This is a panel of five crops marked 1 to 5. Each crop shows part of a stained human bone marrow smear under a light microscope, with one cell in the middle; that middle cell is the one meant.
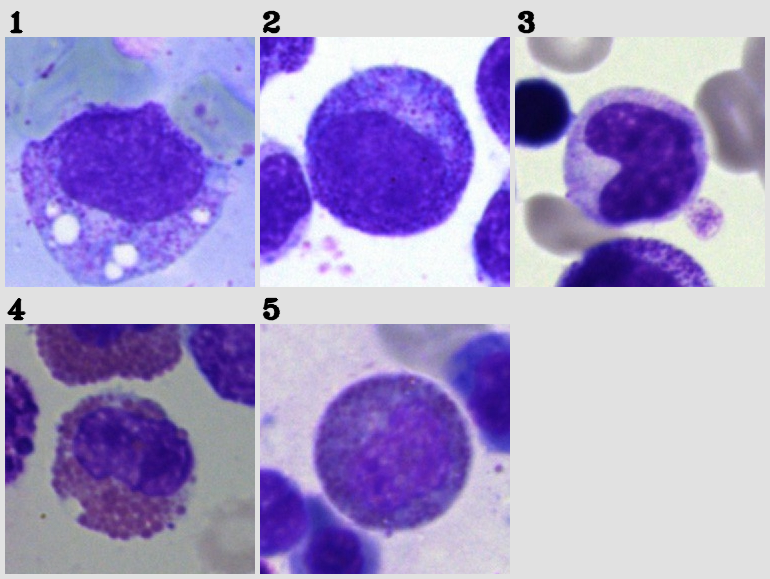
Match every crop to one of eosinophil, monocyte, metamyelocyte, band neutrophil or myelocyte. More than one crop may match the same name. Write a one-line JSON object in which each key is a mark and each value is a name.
{"1": "myelocyte", "2": "myelocyte", "3": "metamyelocyte", "4": "eosinophil", "5": "eosinophil"}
